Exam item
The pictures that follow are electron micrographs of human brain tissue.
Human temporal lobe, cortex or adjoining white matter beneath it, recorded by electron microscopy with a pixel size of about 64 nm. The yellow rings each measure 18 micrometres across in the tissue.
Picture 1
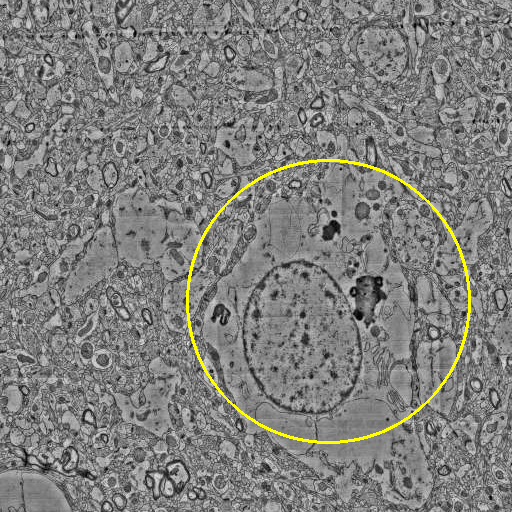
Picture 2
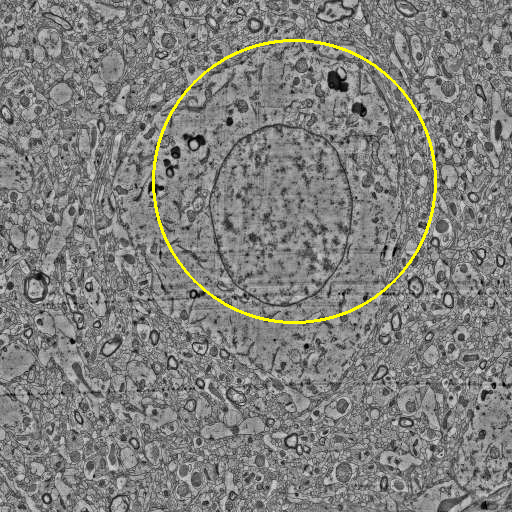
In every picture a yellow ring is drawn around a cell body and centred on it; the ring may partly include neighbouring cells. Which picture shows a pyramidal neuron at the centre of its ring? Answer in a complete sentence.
The cell at the centre of the ring in Picture 2 is the one asked for.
